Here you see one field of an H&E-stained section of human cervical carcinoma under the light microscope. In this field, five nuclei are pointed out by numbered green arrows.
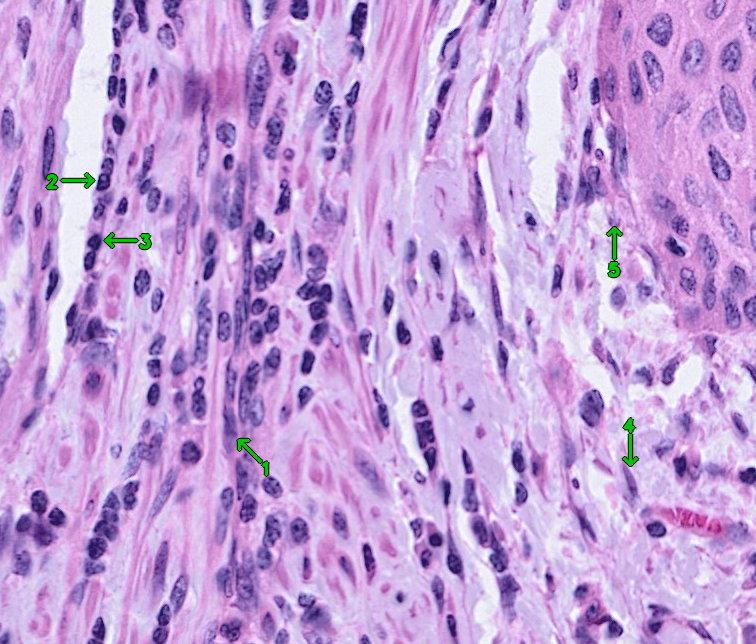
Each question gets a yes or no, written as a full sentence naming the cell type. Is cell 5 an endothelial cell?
No, cell 5 is not an endothelial cell; a fibroblast is correct.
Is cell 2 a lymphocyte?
Yes, the cell numbered 2 in this tissue is a lymphocyte.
